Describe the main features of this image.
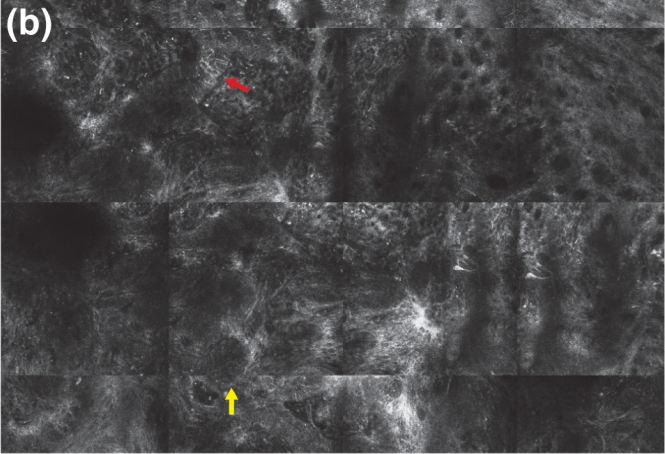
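Reflectance confocal mosaic of skin with tumor, shown in grey tones and assembled from square tiles. A small dark rounded island lies in the lower part, surrounded by bright fibrous tissue. A large dark rounded zone occupies the left edge, and many small dark round spots are scattered at the upper right.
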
